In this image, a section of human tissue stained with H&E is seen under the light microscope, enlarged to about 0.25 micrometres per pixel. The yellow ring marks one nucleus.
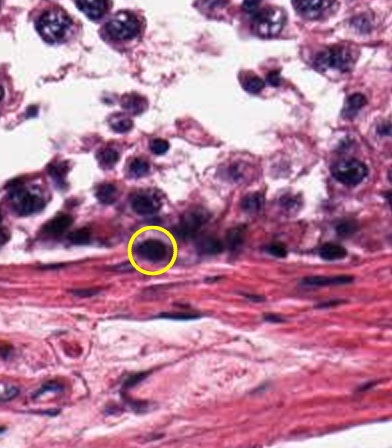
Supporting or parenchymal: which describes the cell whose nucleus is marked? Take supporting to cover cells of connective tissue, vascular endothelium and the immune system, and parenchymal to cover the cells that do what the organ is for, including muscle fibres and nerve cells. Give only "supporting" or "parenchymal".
parenchymal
